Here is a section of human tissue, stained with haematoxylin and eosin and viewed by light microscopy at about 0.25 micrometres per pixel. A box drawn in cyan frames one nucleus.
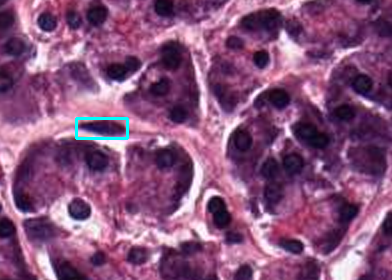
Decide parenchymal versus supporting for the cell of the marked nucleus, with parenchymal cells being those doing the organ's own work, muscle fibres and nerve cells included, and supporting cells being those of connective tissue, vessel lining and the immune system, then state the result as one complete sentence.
The marked nucleus is identified as belonging to a supporting cell.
